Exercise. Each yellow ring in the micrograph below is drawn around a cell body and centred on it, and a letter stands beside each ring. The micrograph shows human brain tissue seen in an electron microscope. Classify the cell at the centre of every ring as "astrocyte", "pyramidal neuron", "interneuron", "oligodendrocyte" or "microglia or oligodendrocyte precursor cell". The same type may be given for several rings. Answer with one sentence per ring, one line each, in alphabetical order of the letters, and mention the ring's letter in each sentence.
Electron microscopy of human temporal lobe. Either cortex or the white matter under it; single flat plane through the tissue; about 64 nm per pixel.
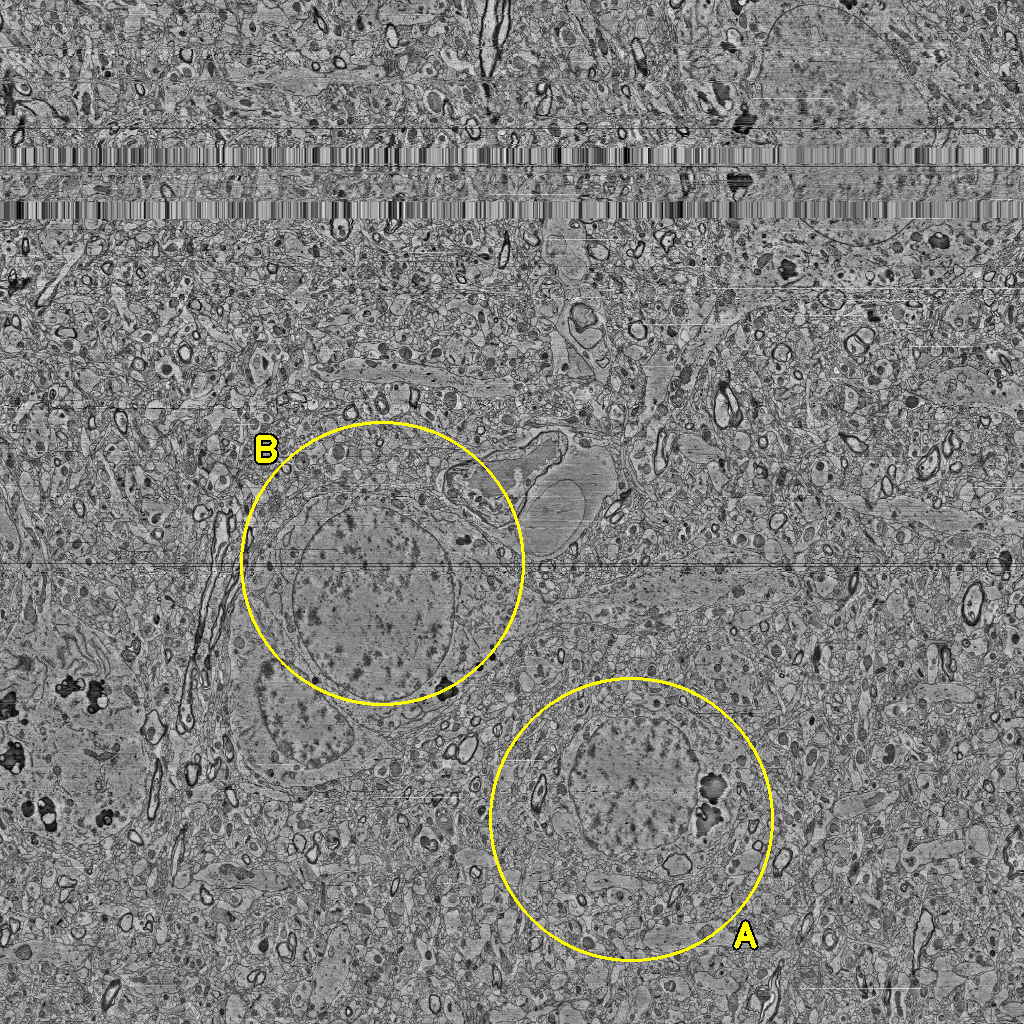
In ring A, the central cell is an interneuron.
In ring B, the central cell is a pyramidal neuron.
